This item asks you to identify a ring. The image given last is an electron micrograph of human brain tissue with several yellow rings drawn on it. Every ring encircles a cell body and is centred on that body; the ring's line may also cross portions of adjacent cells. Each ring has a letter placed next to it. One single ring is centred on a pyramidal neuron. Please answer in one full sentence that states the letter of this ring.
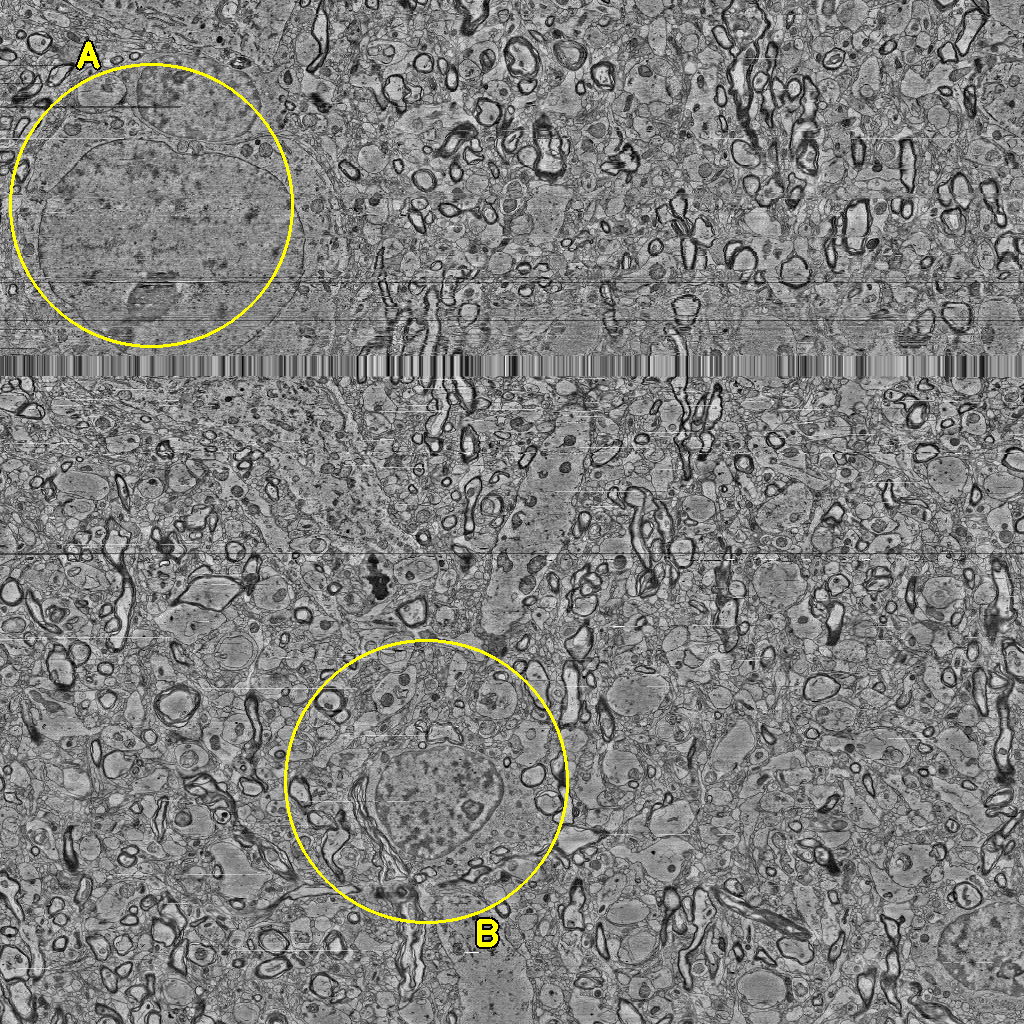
My answer is letter A, the ring centred on the cell asked for.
